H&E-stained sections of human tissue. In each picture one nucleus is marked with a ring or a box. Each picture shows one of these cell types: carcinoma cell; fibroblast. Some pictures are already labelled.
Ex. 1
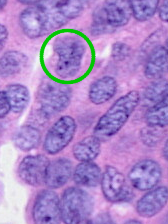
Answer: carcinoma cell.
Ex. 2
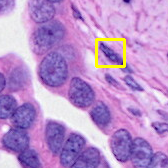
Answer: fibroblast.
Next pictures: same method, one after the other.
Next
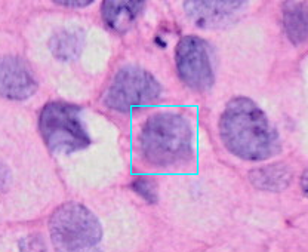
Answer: carcinoma cell.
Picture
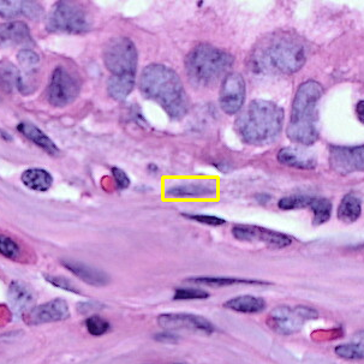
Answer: fibroblast.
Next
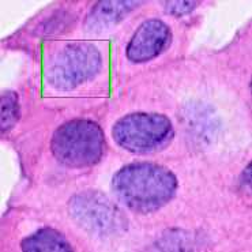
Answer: carcinoma cell.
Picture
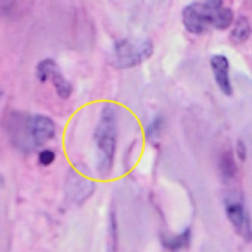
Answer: fibroblast.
